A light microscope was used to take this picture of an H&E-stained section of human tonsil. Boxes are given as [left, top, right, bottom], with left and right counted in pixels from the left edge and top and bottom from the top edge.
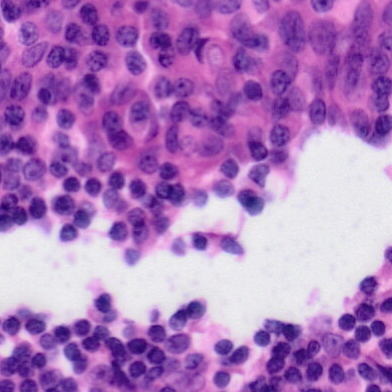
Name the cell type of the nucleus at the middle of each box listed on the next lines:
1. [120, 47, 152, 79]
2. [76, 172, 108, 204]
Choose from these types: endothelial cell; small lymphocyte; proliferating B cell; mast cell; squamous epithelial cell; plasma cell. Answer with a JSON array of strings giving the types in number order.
["plasma cell", "small lymphocyte"]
